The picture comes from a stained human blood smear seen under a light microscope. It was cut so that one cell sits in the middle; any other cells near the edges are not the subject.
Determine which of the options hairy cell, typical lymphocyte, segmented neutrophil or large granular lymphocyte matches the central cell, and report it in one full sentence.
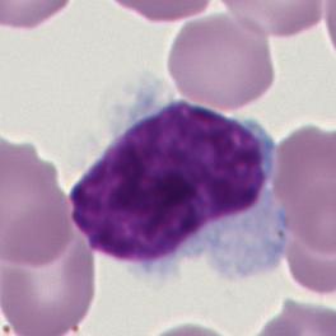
Classified as a hairy cell is the cell in the middle of this crop.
